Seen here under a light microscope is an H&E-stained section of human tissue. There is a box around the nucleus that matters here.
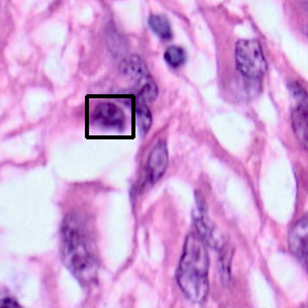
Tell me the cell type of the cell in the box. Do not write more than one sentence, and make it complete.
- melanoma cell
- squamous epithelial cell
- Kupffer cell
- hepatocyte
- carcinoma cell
Among the cells in this section, the cell in the box is a melanoma cell.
